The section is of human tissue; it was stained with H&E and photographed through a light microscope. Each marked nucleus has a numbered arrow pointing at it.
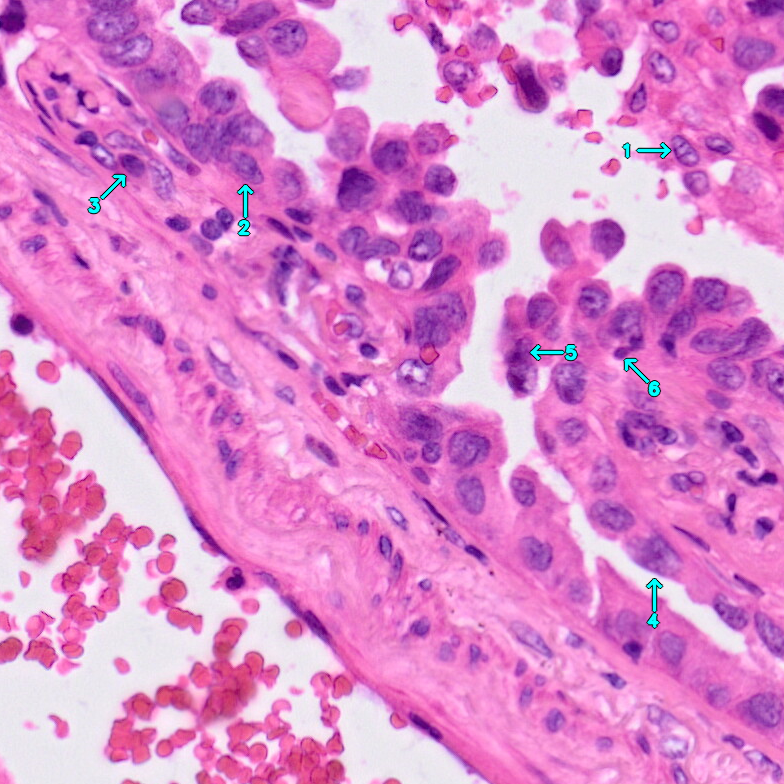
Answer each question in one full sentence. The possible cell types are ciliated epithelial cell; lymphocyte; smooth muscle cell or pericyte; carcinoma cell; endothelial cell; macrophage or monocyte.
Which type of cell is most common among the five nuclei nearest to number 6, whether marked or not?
Around number 6, most of the five nearest nuclei are those of carcinoma cells.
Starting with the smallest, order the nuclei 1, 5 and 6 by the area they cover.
The order from the smallest nucleus to the largest is 6, 5, 1.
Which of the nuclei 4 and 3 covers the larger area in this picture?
The larger nucleus is 4, at roughly 4 times the area of 3.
